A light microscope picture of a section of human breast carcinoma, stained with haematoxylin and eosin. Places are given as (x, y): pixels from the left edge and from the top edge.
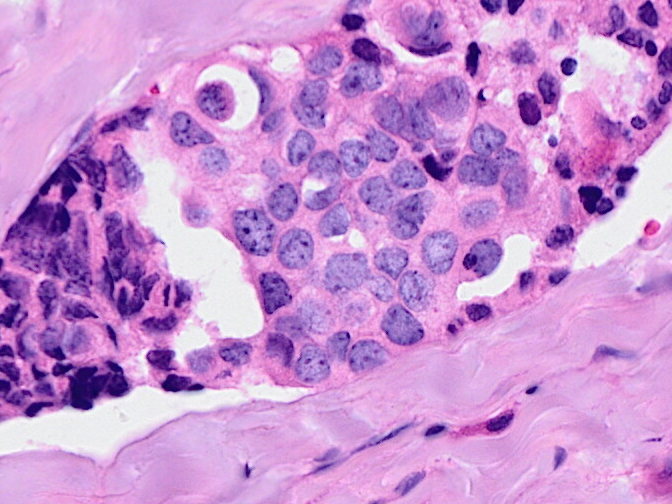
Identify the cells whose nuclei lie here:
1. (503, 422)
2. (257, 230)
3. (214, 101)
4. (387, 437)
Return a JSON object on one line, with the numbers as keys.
{"1": "mast cell", "2": "carcinoma cell", "3": "carcinoma cell", "4": "fibroblast"}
